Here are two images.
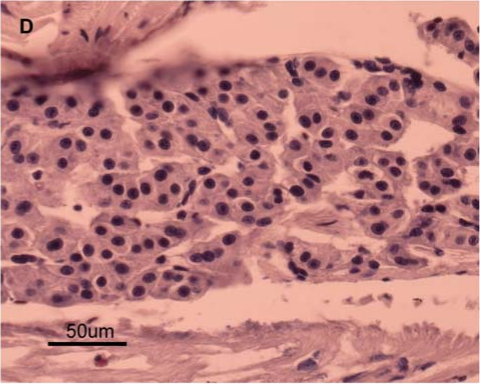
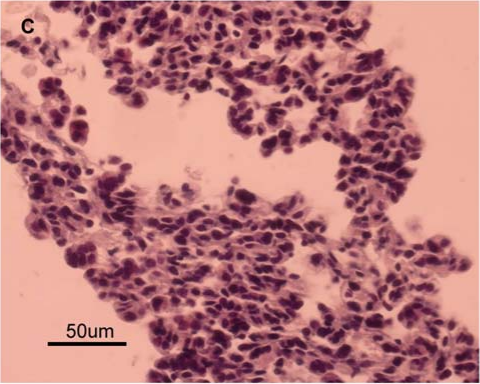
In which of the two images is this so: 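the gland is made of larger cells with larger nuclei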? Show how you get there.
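First image: cells are large and polygonal with ample pale pink cytoplasm and round nuclei clearly spaced apart. Second image: cells are small and crowded, with dark nuclei filling most of each cell and little visible cytoplasm. So: the first image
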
